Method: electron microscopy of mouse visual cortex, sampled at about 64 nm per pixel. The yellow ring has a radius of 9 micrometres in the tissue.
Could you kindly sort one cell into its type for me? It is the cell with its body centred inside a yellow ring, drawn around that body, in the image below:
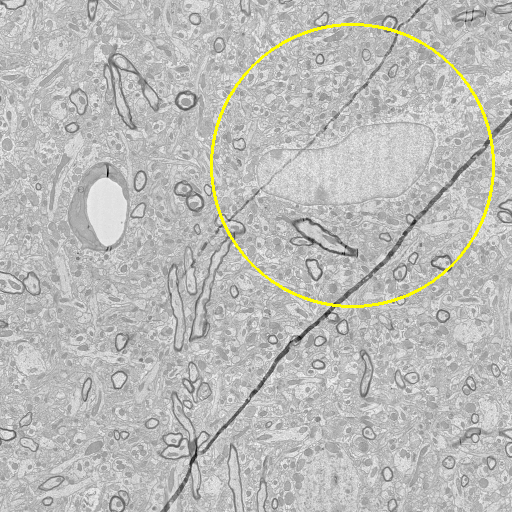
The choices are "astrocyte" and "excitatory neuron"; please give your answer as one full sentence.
The cell whose body lies centred in the yellow ring here is an astrocyte.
